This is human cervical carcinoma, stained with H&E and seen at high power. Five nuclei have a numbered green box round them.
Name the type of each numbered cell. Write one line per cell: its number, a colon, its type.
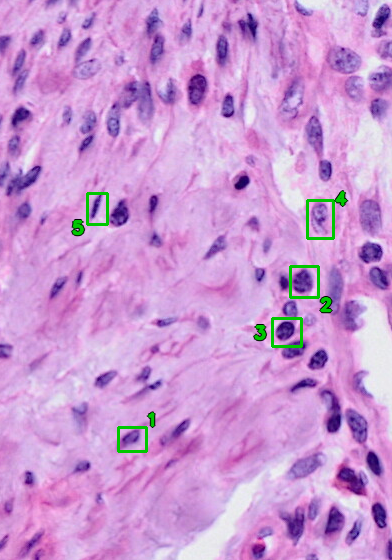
1: smooth muscle cell
2: lymphocyte
3: lymphocyte
4: macrophage or monocyte
5: fibroblast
